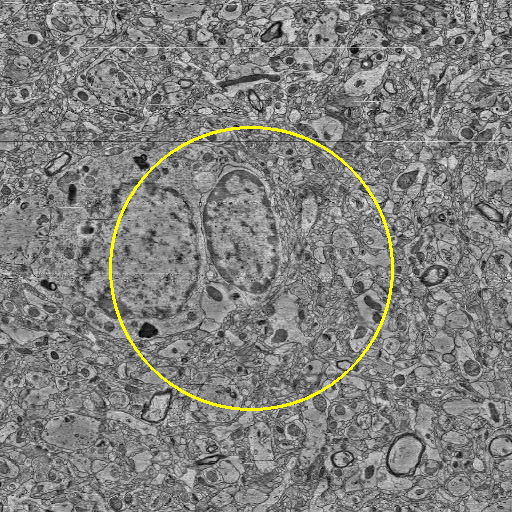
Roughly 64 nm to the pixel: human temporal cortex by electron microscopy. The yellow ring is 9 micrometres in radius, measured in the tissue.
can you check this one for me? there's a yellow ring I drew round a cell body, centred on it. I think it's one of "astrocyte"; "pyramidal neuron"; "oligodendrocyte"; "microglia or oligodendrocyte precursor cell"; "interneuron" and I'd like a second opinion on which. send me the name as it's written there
microglia or oligodendrocyte precursor cell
